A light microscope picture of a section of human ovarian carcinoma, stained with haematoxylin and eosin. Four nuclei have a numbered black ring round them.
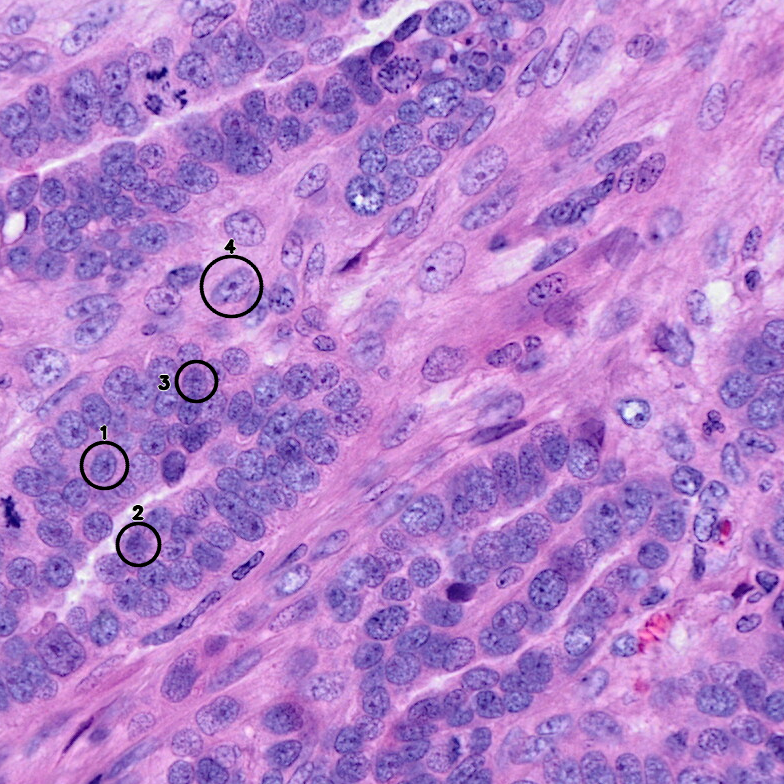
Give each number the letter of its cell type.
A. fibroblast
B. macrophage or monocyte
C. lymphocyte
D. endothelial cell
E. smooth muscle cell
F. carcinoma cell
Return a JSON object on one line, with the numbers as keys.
{"1": "F", "2": "F", "3": "F", "4": "A"}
